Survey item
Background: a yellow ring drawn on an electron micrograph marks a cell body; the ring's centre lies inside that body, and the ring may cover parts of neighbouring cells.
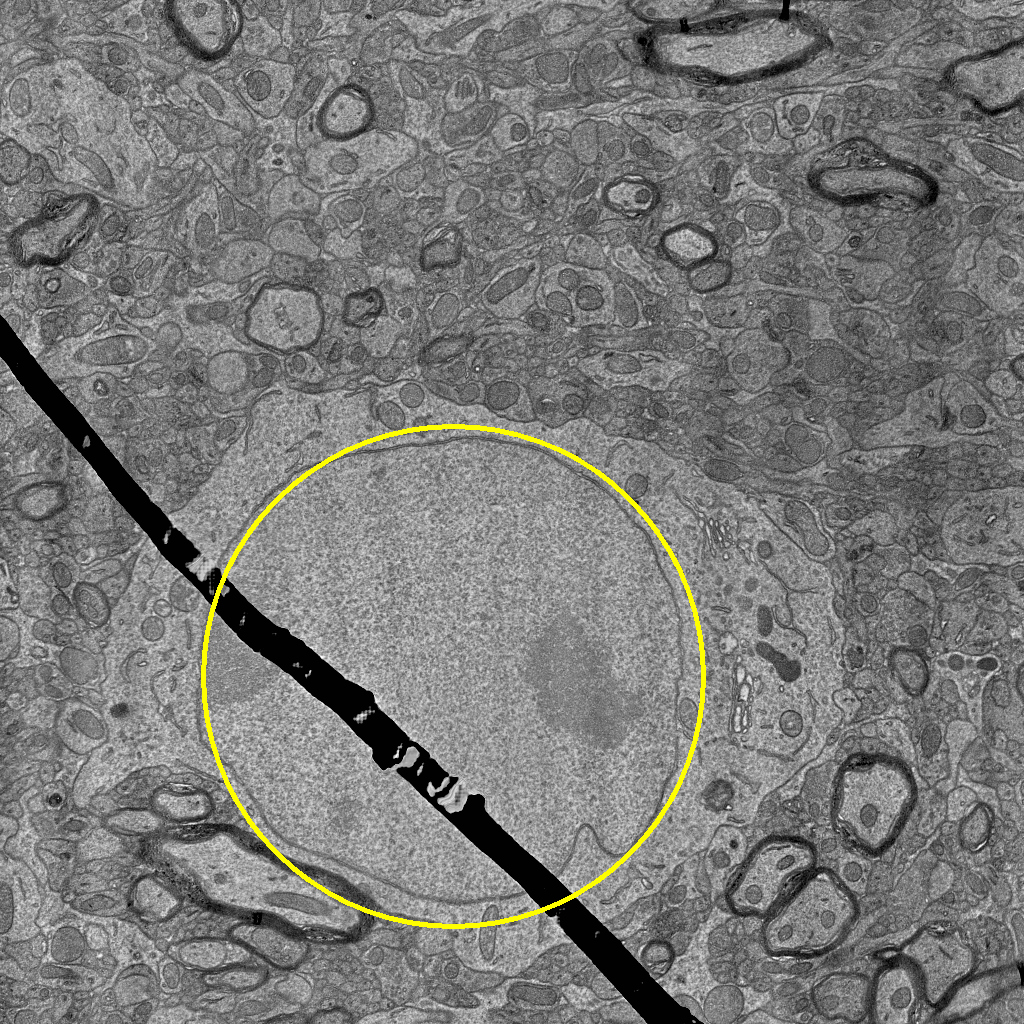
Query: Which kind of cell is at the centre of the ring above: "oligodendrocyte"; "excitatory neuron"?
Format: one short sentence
The cell in the middle of the ring is an excitatory neuron.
